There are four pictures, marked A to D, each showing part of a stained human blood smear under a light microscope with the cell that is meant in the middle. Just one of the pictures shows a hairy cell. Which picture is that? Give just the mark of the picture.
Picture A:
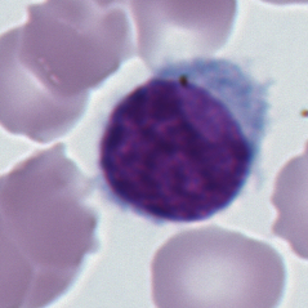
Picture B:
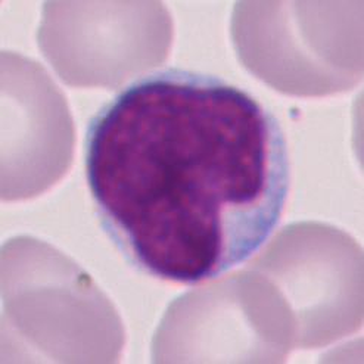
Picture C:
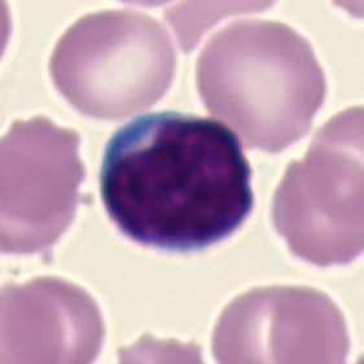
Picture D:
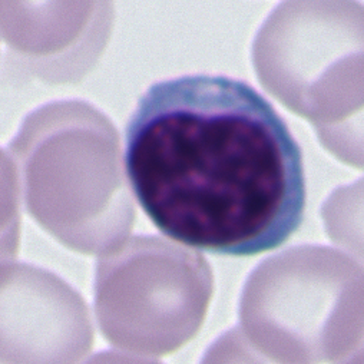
A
